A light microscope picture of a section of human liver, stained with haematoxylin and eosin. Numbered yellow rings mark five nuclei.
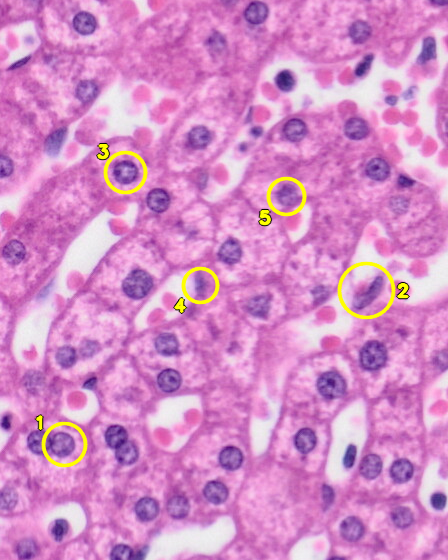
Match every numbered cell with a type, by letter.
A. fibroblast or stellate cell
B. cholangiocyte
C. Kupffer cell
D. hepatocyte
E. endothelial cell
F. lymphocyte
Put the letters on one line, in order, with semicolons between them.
D; C; D; E; D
